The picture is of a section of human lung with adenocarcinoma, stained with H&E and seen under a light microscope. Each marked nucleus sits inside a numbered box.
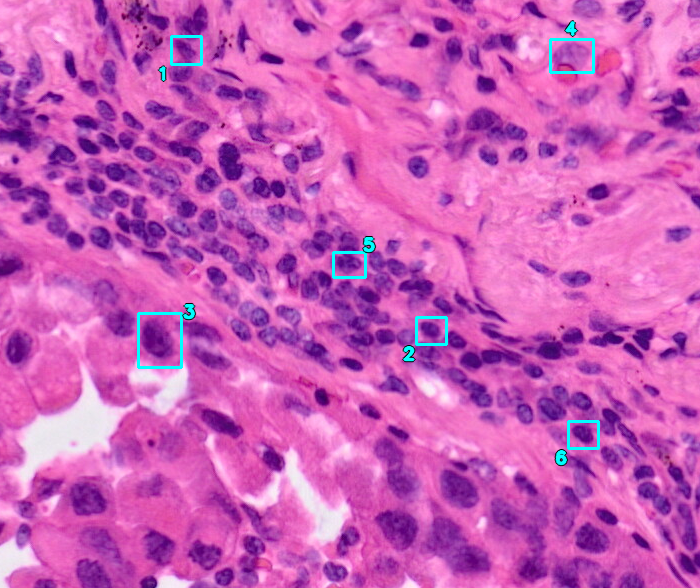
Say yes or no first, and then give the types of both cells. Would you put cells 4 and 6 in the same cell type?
No, cell 4 is an endothelial cell and cell 6 is a plasma cell.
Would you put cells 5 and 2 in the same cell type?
Yes, both are lymphocytes.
